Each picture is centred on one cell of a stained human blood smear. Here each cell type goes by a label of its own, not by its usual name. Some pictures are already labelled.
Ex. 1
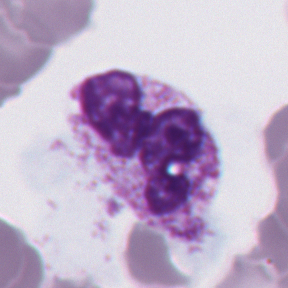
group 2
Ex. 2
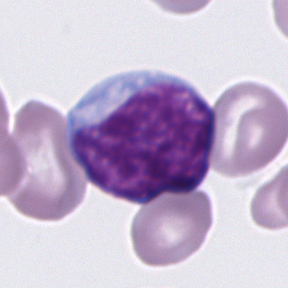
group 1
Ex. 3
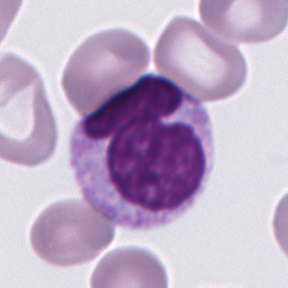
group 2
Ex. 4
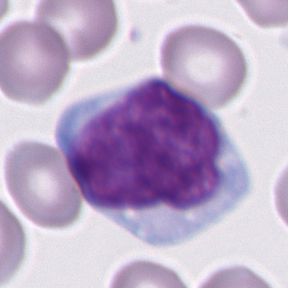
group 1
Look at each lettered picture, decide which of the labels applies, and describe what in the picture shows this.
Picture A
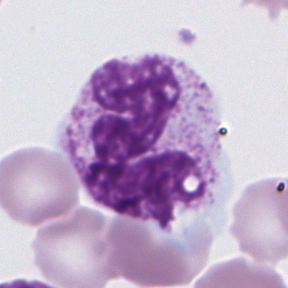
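Label: group 2. The nucleus is folded into broad lobes that stay joined by wide bands.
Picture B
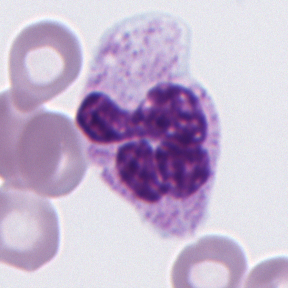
Label: group 2. The cytoplasm is plentiful and pale lilac-grey.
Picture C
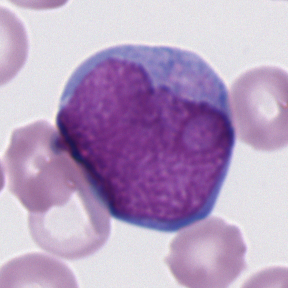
Label: group 1. The cytoplasm is blue.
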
